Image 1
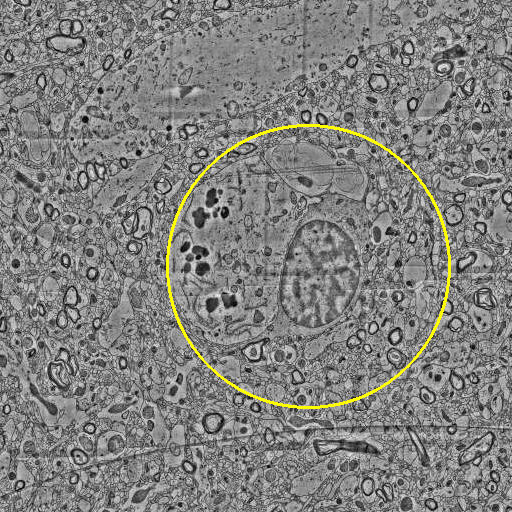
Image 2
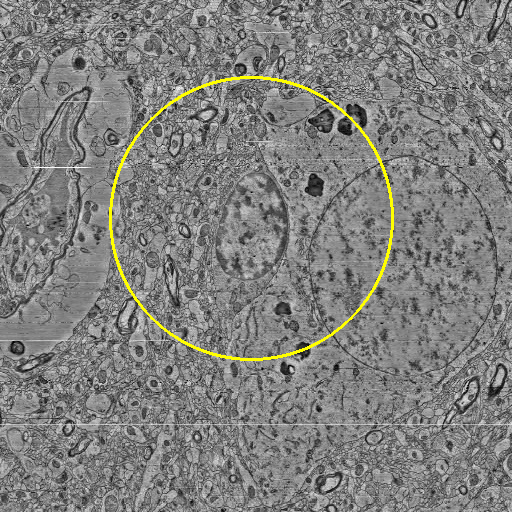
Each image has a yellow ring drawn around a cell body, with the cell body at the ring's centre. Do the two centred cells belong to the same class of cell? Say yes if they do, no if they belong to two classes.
yes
